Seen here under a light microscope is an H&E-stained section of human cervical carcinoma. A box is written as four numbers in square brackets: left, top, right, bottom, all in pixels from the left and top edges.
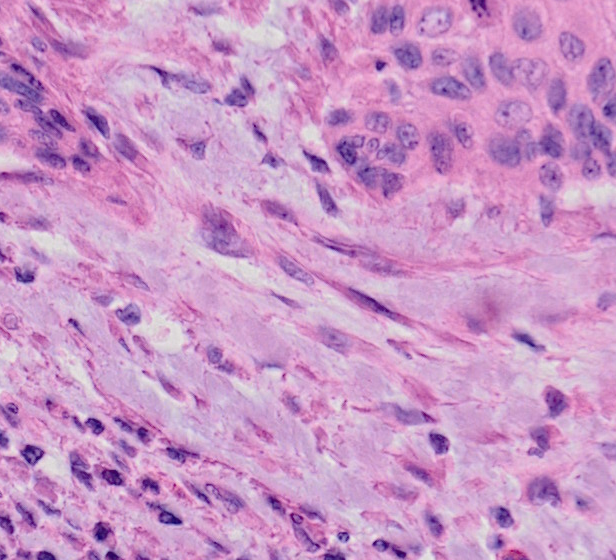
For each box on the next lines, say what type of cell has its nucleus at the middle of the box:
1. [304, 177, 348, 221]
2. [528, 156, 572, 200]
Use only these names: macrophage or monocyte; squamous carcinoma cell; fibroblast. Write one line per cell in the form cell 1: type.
cell 1: fibroblast
cell 2: squamous carcinoma cell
